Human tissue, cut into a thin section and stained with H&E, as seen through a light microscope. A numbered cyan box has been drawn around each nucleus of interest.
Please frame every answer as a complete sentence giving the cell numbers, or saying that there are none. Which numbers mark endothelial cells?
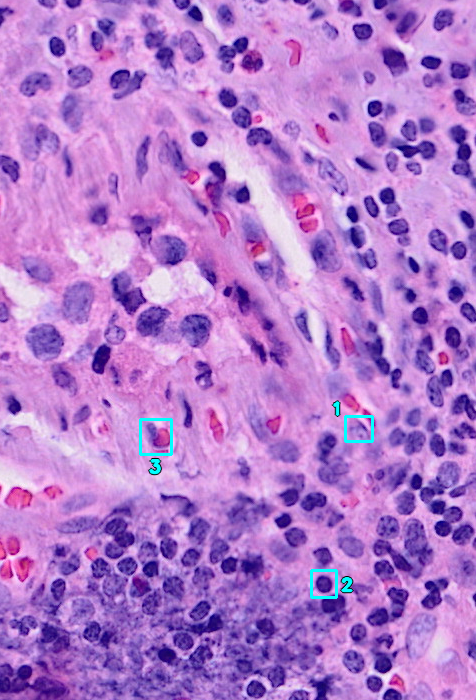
Cells 1 and 3 are of one type, namely endothelial cells.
